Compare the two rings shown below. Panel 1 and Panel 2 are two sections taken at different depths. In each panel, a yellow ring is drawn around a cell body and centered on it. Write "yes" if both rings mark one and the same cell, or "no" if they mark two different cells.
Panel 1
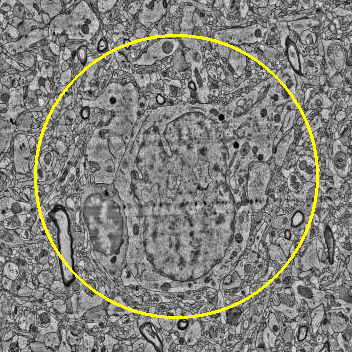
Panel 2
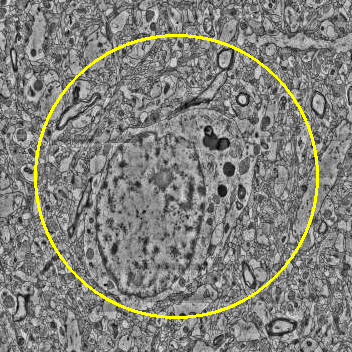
no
